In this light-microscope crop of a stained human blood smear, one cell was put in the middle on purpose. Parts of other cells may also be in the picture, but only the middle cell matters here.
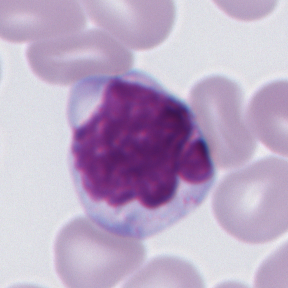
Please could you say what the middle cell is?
large granular lymphocyte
